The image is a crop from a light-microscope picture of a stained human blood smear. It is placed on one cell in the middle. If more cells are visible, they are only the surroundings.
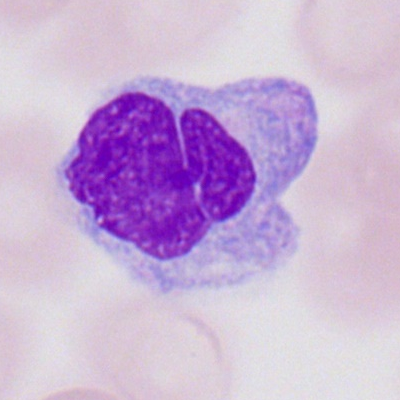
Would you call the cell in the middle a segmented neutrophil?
no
